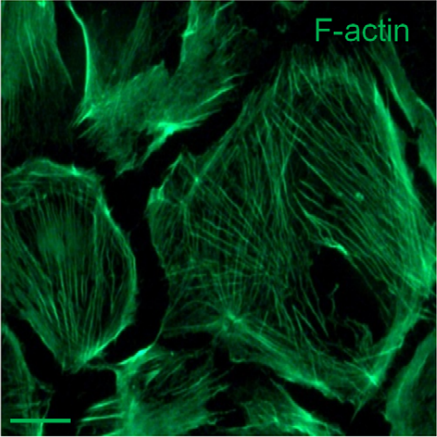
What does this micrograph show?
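In the biggest cells, many long, thin, straight fibres run in parallel bundles across the whole cell body. In some cells these bundles fan out from a single point.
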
